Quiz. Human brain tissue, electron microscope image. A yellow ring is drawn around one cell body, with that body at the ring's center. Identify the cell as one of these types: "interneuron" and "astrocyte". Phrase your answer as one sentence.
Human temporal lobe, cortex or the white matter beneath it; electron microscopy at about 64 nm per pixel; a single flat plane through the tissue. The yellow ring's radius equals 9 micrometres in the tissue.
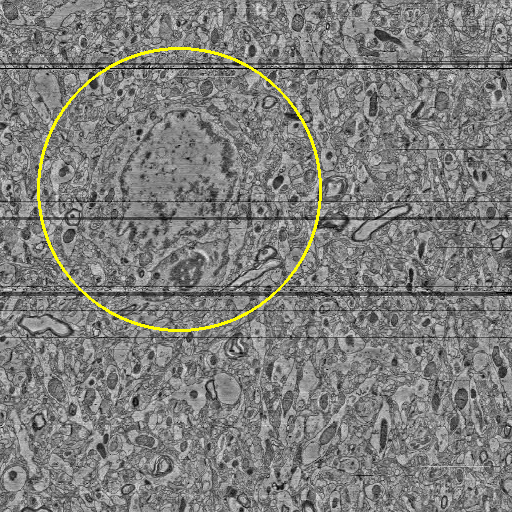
At the center of the ring sits an interneuron.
